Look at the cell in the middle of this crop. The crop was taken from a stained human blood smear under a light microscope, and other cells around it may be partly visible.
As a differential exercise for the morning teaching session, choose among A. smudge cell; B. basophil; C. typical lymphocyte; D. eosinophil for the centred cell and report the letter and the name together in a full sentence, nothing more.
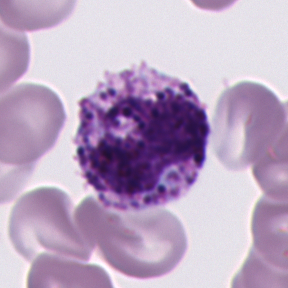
Option B is correct, naming the cell in the middle as a basophil.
